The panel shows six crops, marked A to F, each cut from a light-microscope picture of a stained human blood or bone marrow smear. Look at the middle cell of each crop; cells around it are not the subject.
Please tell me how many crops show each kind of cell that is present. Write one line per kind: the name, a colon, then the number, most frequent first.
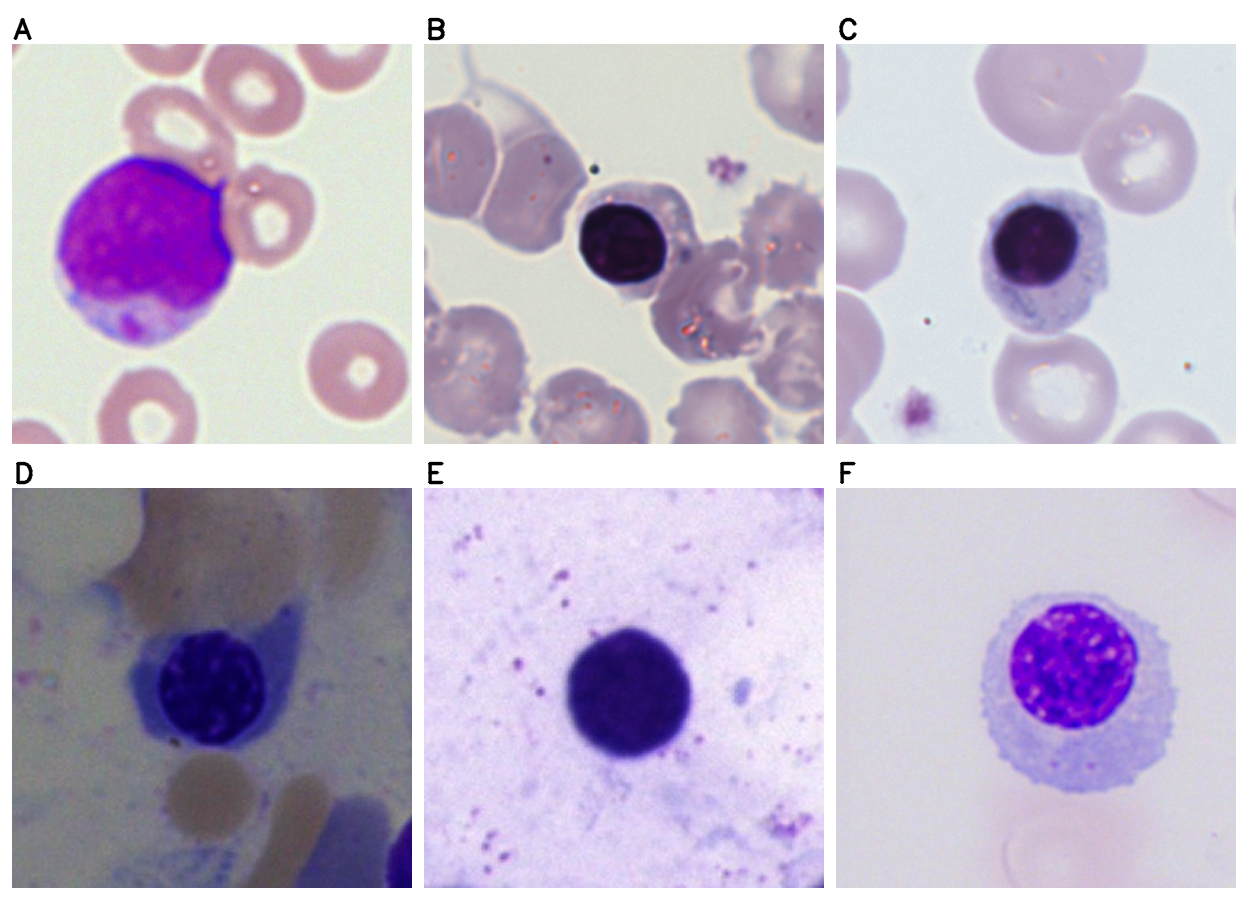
erythroblast: 4
lymphocyte: 2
